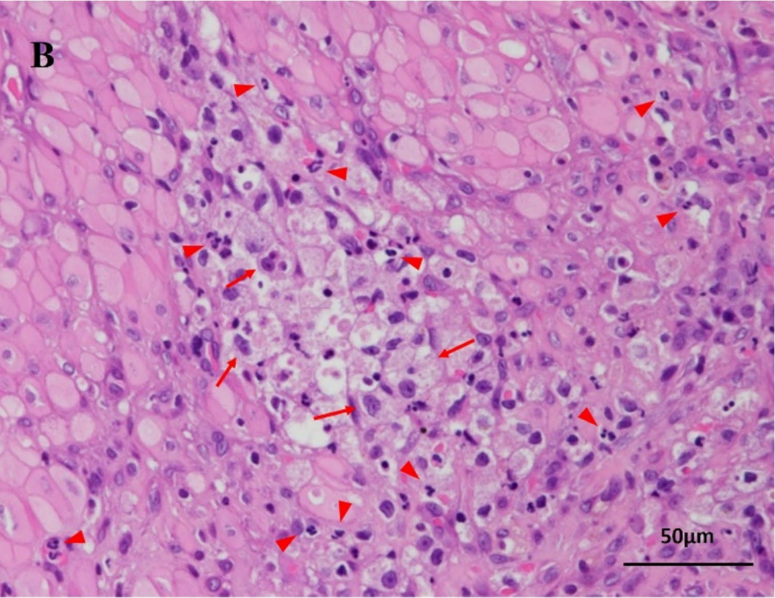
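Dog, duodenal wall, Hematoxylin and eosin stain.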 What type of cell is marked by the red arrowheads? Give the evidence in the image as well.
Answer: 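Small round cells with dark, segmented, lobed nuclei. Cells scattered singly between larger pale cells and pink muscle profiles.
Conclusion: neutrophils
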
